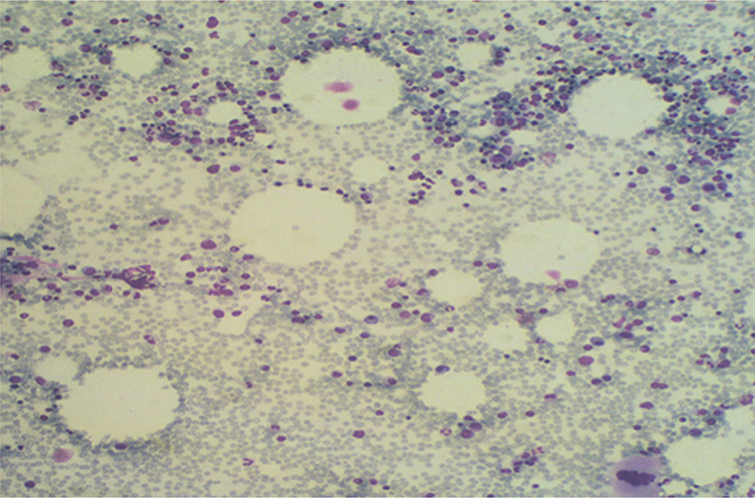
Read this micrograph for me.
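At low power, a marrow smear shows a background of many small red cells interrupted by round clear spaces of varying size, with clusters and streaks of purple nucleated cells gathered around and between them. At the lower right edge a very large cell with a dark lobulated nucleus and pale cytoplasm is partly seen, consistent with a megakaryocyte among the blood-forming cells.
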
